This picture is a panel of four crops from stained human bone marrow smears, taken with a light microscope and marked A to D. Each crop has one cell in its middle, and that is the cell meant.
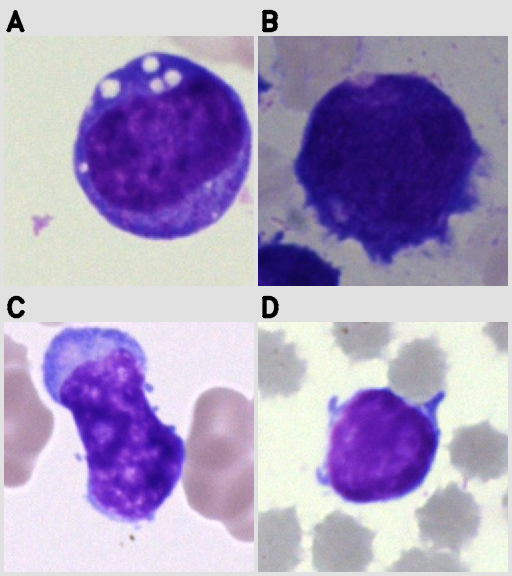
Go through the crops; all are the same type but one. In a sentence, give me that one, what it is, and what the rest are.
Crop D stands apart from the rest as a lymphocyte, the others all being blasts.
